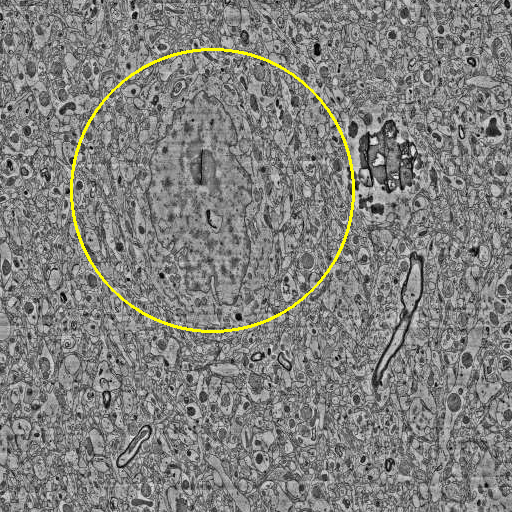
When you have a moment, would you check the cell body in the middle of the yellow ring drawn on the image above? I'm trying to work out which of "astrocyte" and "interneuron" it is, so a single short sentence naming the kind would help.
This cell body belongs to an interneuron.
